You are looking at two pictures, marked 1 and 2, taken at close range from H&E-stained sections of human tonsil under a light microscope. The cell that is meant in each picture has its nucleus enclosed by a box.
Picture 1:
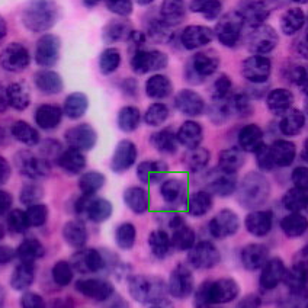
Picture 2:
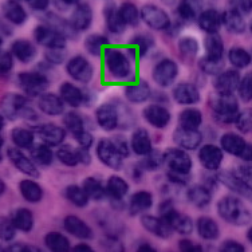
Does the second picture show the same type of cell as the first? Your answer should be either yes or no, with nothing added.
yes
